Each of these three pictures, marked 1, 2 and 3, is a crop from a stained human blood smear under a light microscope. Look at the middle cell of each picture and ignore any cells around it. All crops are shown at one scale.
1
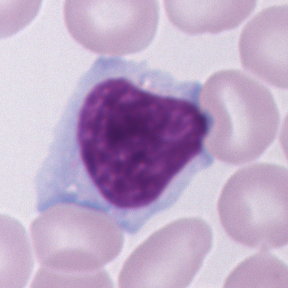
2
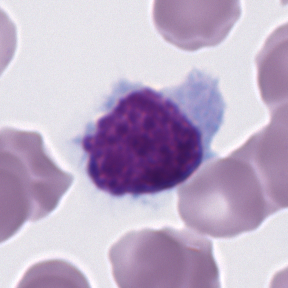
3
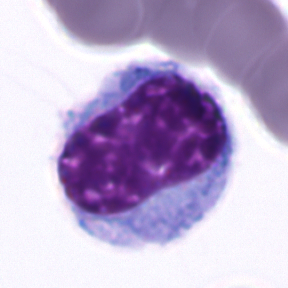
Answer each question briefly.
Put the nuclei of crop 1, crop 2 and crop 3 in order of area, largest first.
3, 1, 2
